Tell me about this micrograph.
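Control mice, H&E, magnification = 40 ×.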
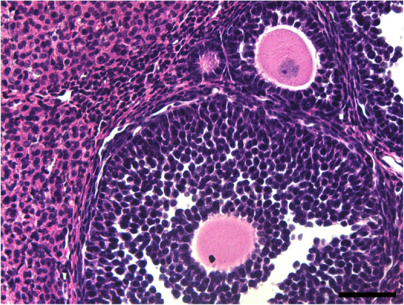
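This is ovarian tissue with a large growing follicle in the lower half. Narrow clefts open among these layers. A thin band of flattened spindle-shaped cells wraps the follicle on the outside. Above, a smaller oocyte with its surrounding cells is visible, and at the upper left lies a sheet of larger cells with paler pink cytoplasm and round nuclei, typical of luteal tissue.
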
